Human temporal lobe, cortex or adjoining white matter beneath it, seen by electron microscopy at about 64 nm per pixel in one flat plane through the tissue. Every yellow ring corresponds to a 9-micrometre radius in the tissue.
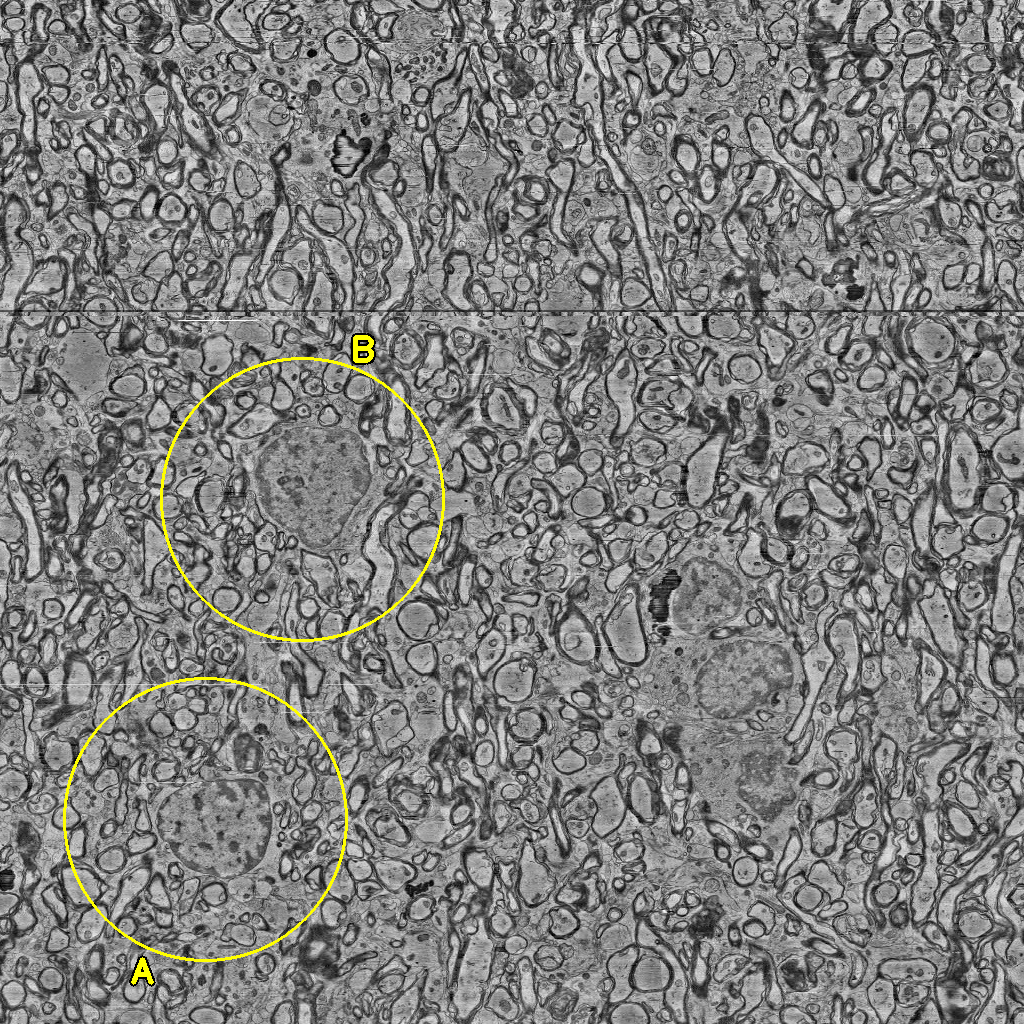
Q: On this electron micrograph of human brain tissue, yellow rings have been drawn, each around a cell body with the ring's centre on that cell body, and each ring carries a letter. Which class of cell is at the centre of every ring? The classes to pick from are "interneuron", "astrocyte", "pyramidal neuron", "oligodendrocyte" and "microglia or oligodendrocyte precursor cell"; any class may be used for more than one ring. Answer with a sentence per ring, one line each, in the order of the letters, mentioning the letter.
The centre of ring A is occupied by a microglial cell or oligodendrocyte precursor cell.
The centre of ring B is occupied by an oligodendrocyte.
